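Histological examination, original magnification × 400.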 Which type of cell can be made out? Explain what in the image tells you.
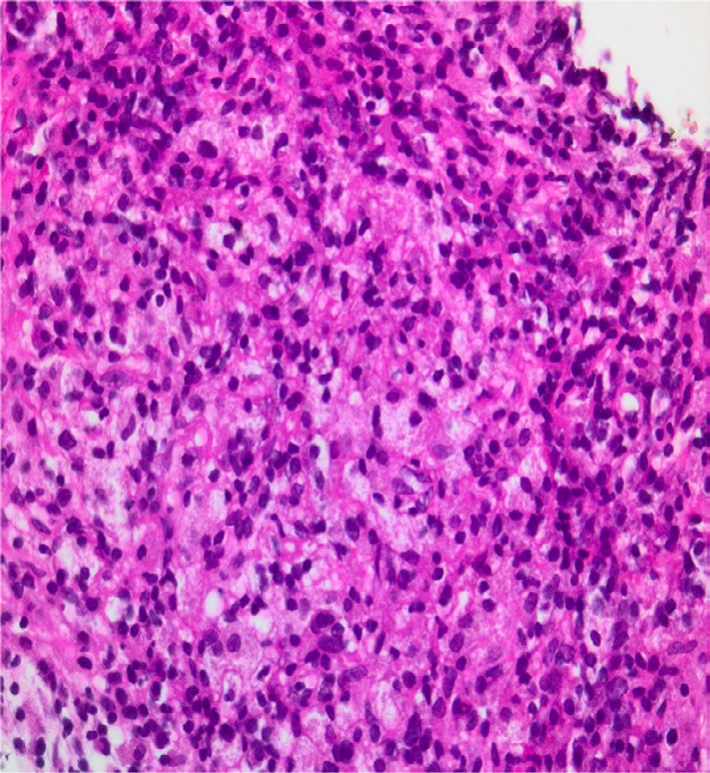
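Lymphocytes. Many small cells with round, dense, dark purple nuclei and scant cytoplasm. These small dark cells are scattered densely throughout the field.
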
